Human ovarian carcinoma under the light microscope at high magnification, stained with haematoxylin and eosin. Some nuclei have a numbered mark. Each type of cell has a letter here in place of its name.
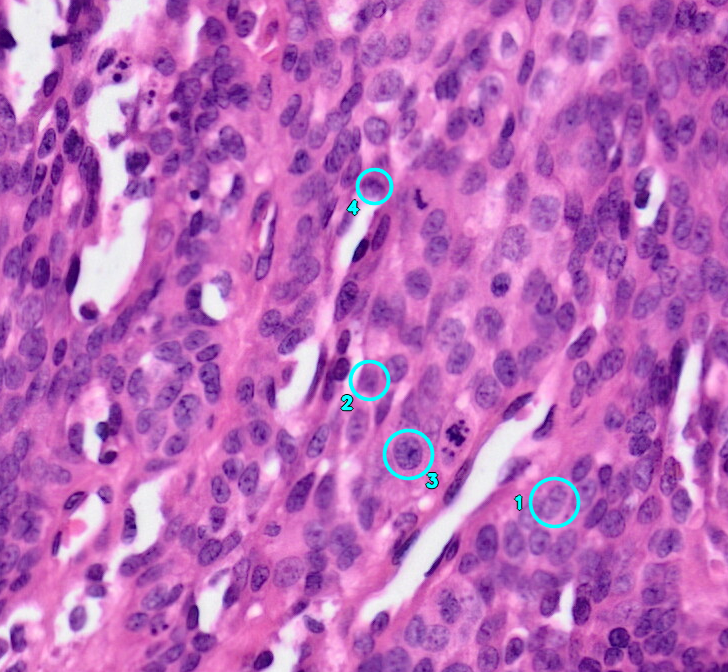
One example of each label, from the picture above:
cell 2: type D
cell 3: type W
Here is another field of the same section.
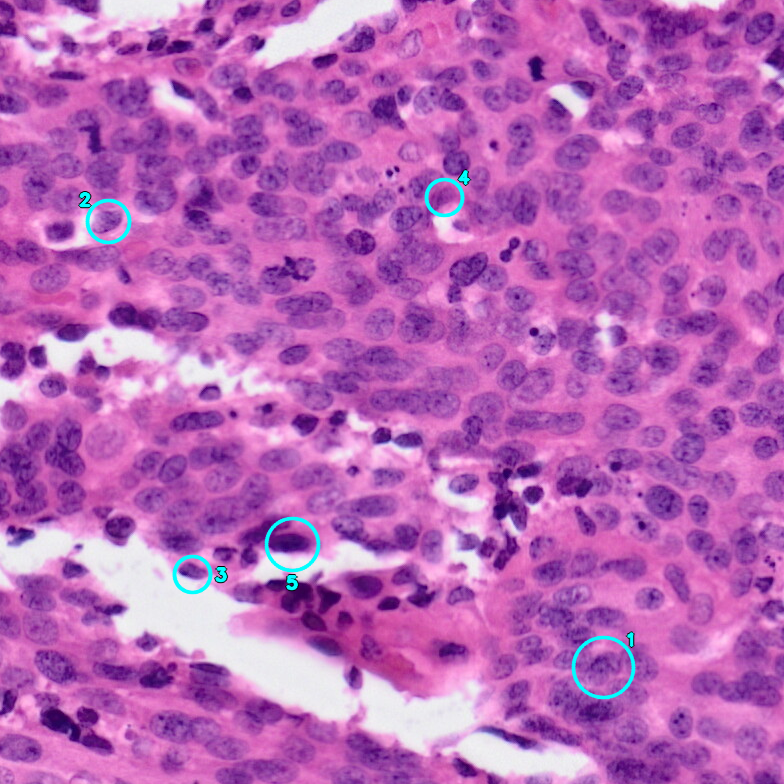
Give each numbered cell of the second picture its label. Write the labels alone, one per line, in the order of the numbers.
type D
type W
type W
type D
type D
